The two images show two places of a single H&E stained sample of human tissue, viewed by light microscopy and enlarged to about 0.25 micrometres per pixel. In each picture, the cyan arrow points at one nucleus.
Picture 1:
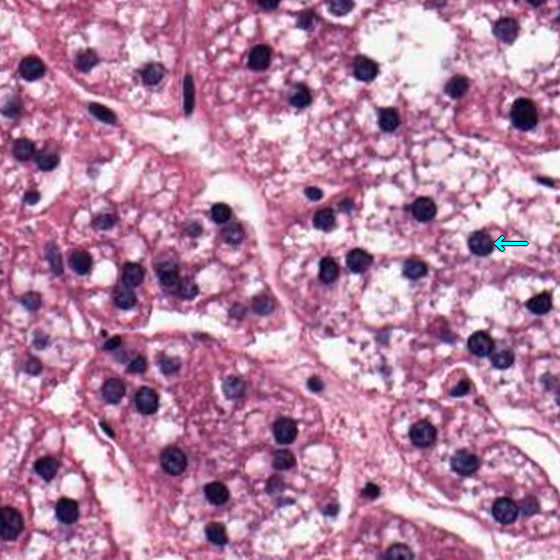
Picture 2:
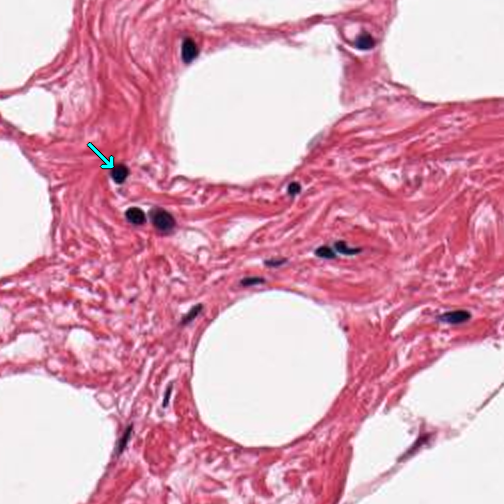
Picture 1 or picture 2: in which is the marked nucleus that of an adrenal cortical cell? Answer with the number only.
1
